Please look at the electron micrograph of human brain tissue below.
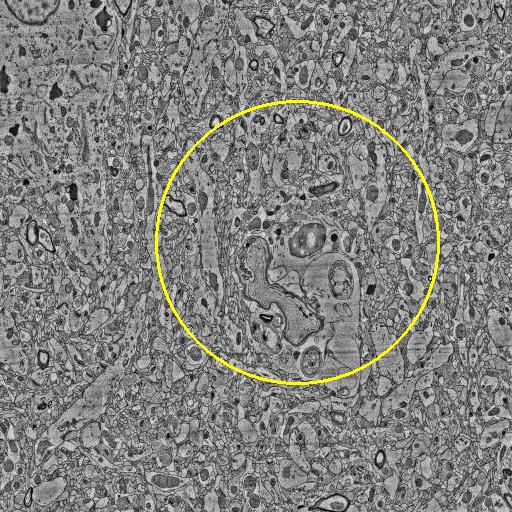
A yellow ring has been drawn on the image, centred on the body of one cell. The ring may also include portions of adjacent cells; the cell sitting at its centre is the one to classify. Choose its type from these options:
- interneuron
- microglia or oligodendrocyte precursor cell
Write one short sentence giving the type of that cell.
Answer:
The cell in the middle of the ring is a microglial cell or oligodendrocyte precursor cell.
